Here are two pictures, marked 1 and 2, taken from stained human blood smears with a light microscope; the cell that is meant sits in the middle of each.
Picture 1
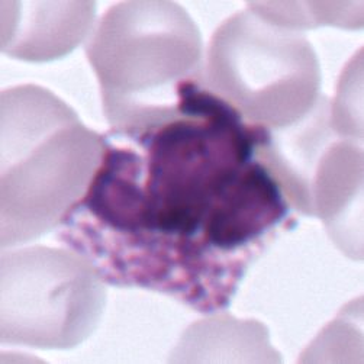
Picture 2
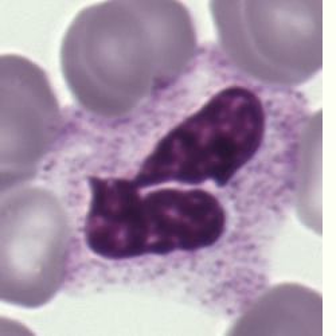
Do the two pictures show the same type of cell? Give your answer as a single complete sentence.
No, picture 1 shows a basophil and picture 2 shows a segmented neutrophil.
